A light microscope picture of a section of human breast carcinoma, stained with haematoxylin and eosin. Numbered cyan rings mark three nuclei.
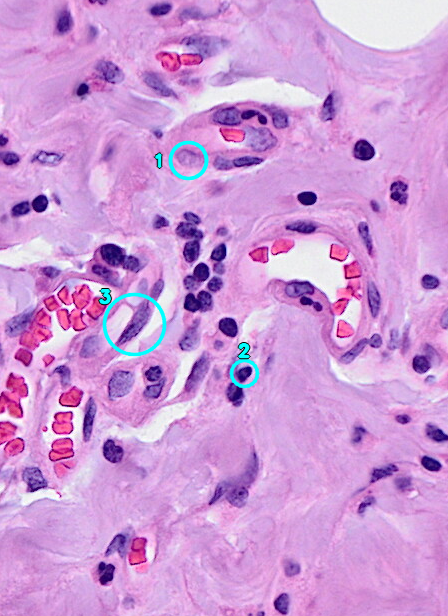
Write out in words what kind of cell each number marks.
Cell 1 is an endothelial cell, cell 2 is a lymphocyte and cell 3 is an endothelial cell.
